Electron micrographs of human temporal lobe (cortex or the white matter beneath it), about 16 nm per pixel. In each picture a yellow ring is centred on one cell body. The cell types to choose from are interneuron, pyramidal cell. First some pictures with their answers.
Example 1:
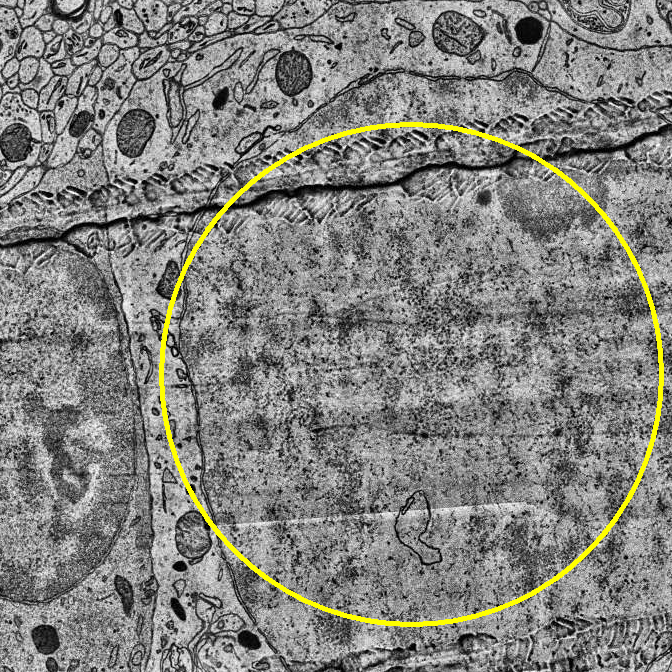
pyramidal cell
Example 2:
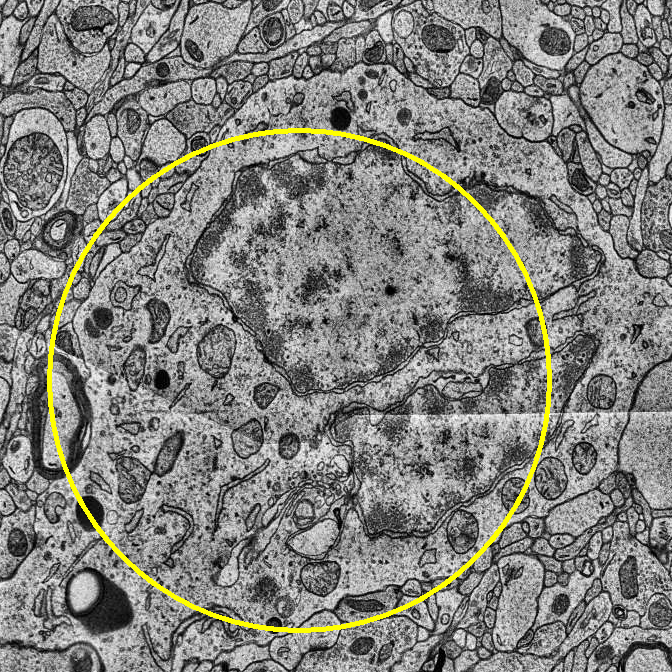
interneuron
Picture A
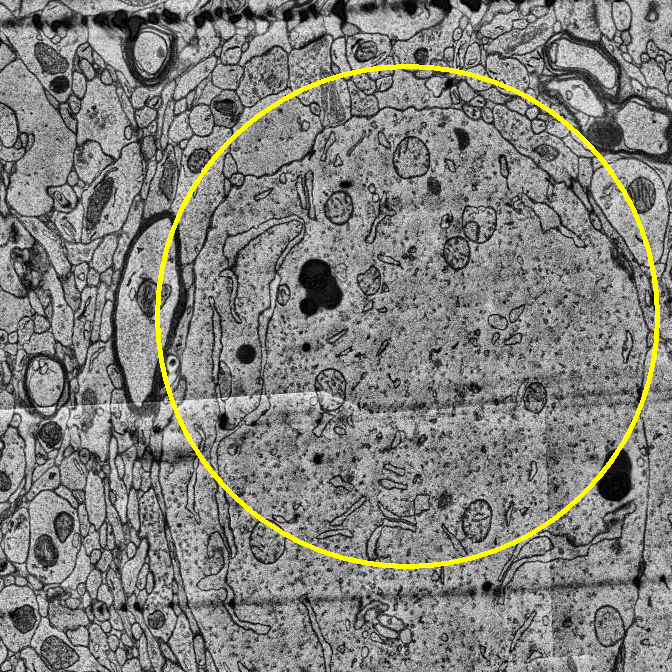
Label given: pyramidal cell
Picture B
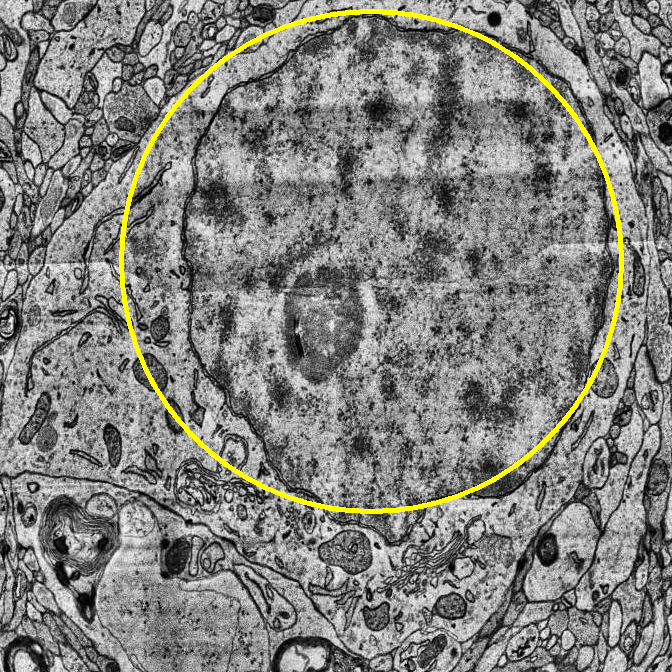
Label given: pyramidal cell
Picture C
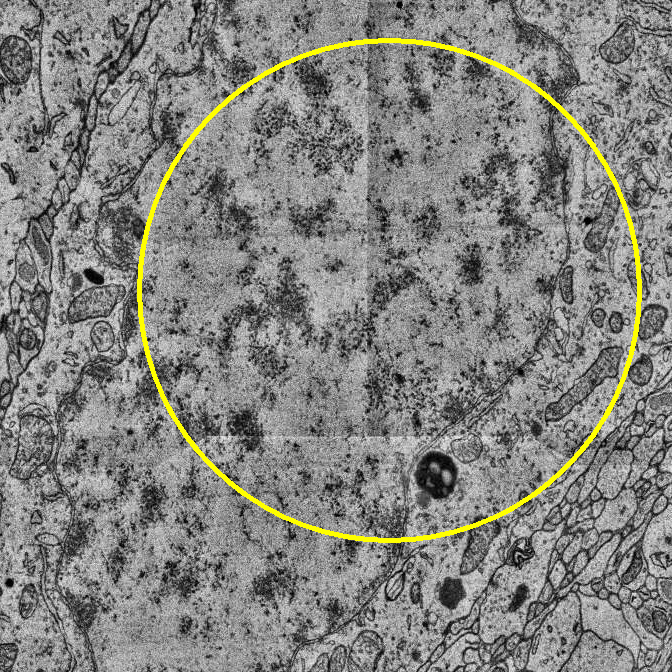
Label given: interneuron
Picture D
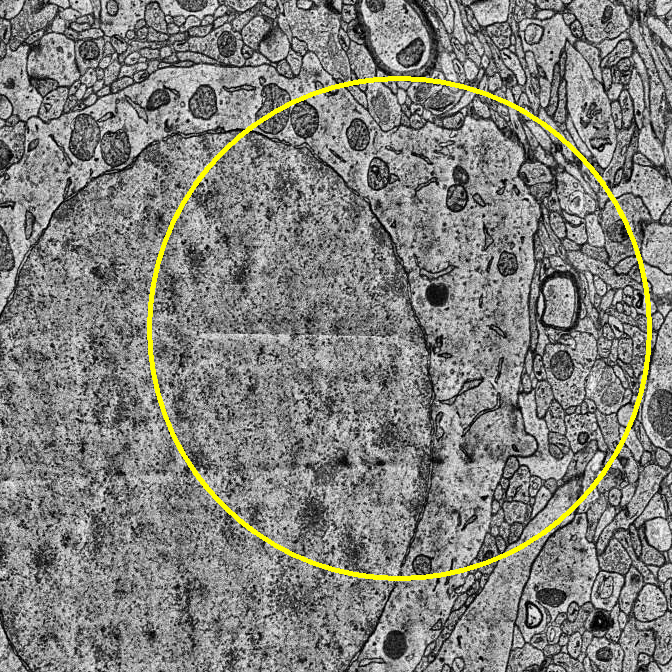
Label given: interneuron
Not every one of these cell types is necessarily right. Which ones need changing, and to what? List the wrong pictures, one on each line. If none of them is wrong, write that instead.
Wrong: B (pyramidal cell); correct: interneuron
Wrong: D (interneuron); correct: pyramidal cell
